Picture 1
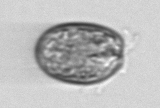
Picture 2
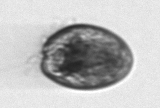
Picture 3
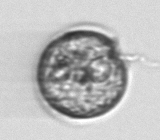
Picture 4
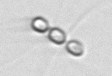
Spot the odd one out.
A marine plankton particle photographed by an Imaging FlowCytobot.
Picture 4 (Chaetoceros among Prorocentrum).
